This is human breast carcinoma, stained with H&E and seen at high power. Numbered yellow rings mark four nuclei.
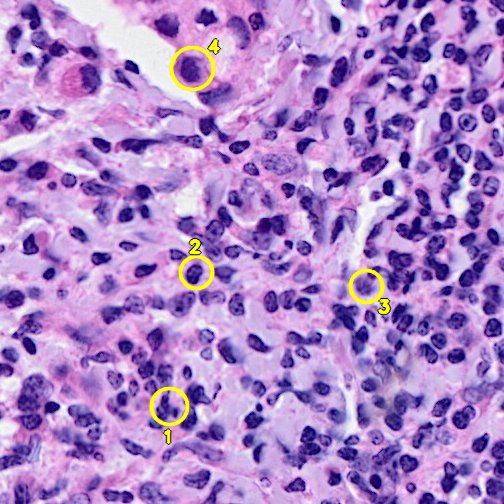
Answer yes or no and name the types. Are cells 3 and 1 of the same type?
Yes, in the case of cells 3 and 1, both are lymphocytes.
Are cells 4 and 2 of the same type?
No, cell 4 is a carcinoma cell, whereas a lymphocyte is what cell 2 is.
